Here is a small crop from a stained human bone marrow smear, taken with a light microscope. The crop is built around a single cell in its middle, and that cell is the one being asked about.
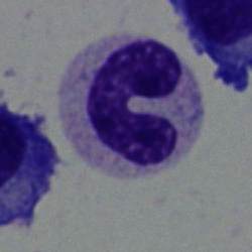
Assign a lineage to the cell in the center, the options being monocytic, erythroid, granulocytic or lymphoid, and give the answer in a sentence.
The granulocytic lineage is the lineage of the cell in the middle.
